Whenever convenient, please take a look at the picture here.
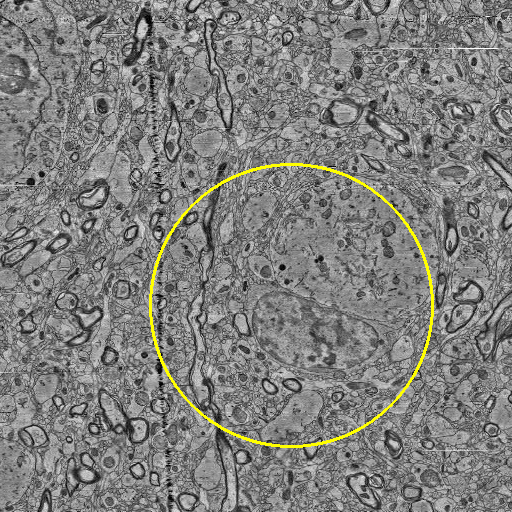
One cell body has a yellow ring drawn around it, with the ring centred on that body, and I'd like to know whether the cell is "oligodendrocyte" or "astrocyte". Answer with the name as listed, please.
oligodendrocyte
